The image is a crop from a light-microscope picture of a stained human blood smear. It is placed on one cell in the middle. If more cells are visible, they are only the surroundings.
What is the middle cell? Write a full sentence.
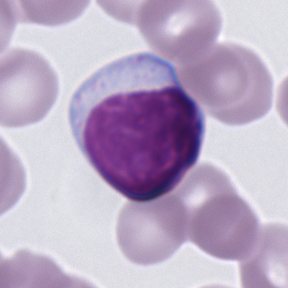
This crop has a large granular lymphocyte at its centre.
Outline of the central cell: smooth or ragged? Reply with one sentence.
Its outline is smooth, with no projections anywhere along the edge.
